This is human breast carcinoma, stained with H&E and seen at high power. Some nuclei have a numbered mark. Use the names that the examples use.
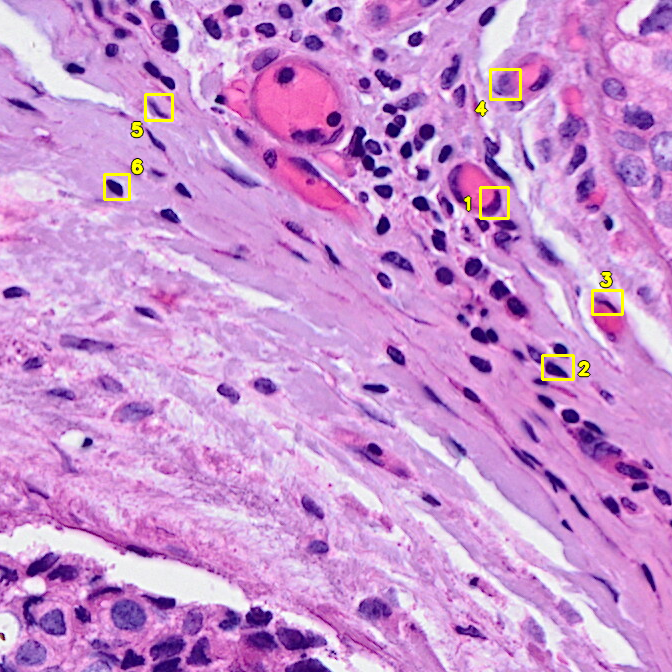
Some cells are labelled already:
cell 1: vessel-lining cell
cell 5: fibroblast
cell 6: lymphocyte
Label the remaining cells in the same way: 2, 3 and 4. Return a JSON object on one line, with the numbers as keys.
{"2": "lymphocyte", "3": "vessel-lining cell", "4": "vessel-lining cell"}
